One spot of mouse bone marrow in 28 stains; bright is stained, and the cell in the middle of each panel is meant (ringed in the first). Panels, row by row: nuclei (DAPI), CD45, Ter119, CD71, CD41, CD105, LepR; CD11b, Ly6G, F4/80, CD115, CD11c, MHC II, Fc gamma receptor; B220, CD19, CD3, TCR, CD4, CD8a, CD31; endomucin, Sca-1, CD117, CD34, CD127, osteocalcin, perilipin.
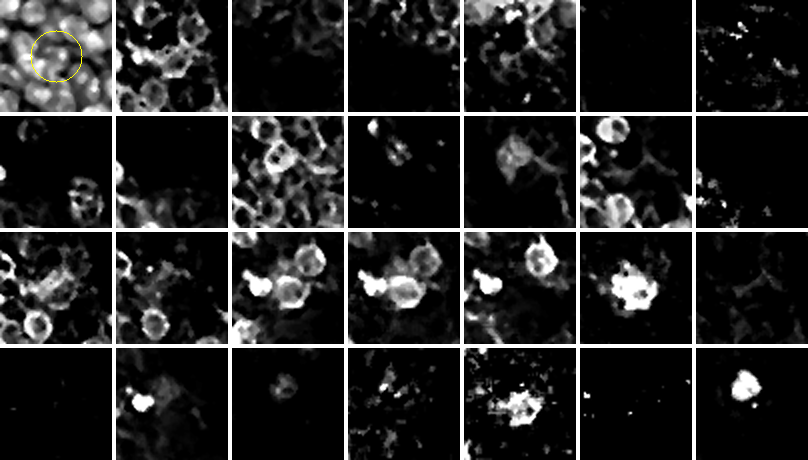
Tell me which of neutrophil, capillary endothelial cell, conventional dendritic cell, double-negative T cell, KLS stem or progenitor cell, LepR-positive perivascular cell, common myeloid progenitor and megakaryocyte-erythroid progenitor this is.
The picture shows a double-negative T cell.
